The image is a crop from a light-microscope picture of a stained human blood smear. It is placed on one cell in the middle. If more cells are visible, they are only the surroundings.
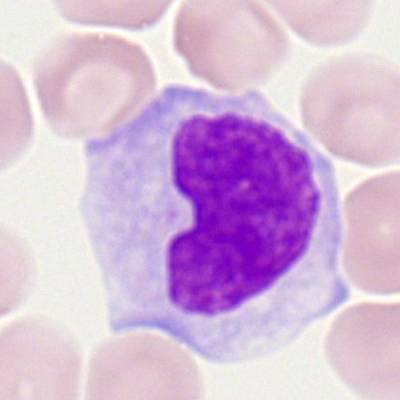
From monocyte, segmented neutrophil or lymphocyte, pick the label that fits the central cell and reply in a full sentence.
The middle of this crop holds a monocyte.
